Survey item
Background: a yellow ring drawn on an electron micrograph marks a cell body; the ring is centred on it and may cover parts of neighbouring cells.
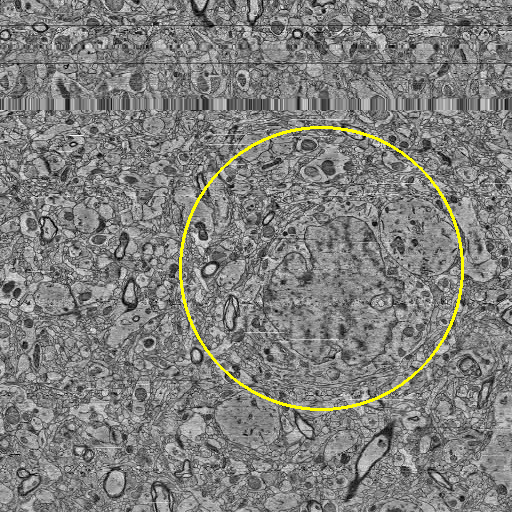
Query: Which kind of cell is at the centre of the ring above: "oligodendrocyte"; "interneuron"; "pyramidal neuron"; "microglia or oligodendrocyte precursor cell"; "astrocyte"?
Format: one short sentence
The cell in the middle of the ring is an interneuron.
